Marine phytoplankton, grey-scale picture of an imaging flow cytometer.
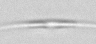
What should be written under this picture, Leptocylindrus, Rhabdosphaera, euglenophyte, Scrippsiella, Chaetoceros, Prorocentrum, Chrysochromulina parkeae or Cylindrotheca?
Cylindrotheca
